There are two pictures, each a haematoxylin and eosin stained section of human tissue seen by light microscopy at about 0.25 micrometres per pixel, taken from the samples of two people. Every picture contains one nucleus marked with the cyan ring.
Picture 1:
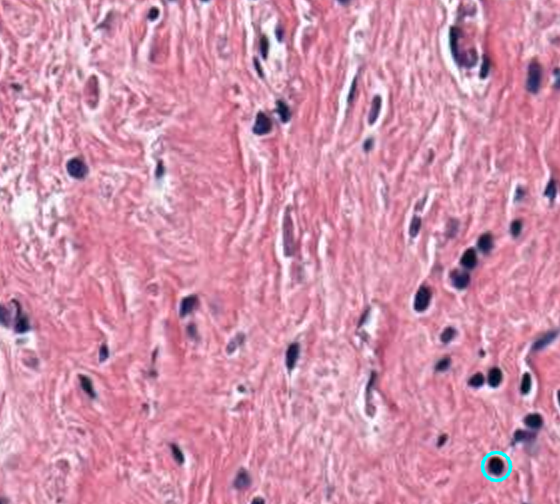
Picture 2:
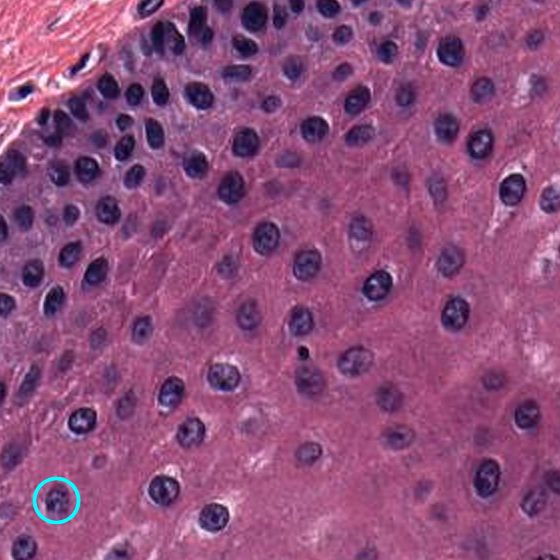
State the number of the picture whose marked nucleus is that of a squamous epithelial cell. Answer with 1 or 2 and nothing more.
2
